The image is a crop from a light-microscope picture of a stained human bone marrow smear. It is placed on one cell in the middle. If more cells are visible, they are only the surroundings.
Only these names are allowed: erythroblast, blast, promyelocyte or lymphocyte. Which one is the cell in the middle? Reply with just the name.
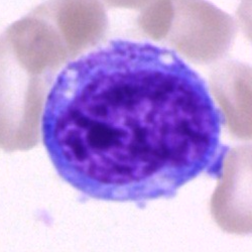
promyelocyte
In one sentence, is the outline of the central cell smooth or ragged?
An irregular outline, ragged or marked by projections, surrounds this cell.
